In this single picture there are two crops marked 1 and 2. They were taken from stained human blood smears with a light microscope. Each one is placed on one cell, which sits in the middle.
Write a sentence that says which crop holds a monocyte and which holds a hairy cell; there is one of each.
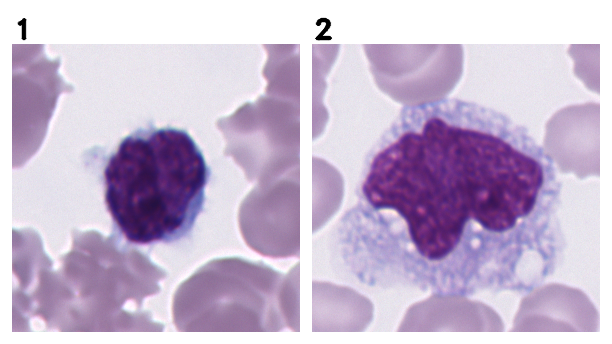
Crop 1 has been identified as a hairy cell, and crop 2 has been identified as a monocyte.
